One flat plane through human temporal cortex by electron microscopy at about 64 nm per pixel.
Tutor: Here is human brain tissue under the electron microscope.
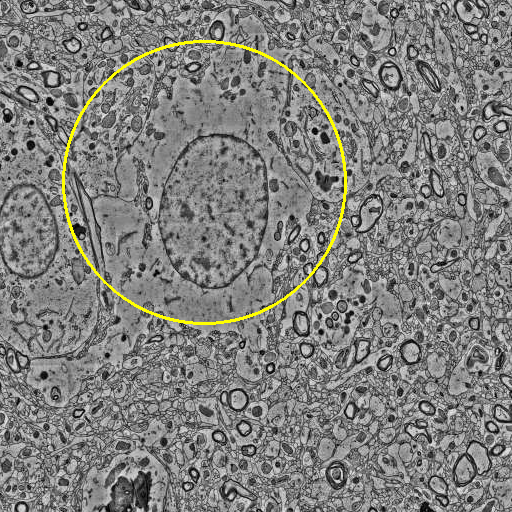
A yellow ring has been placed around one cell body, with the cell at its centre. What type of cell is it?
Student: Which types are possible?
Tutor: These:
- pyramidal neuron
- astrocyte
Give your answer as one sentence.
What the ring picks out here is an astrocyte.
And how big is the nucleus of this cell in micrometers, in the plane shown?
Roughly 10 by 7 micrometres is the size of the nucleus in this plane.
